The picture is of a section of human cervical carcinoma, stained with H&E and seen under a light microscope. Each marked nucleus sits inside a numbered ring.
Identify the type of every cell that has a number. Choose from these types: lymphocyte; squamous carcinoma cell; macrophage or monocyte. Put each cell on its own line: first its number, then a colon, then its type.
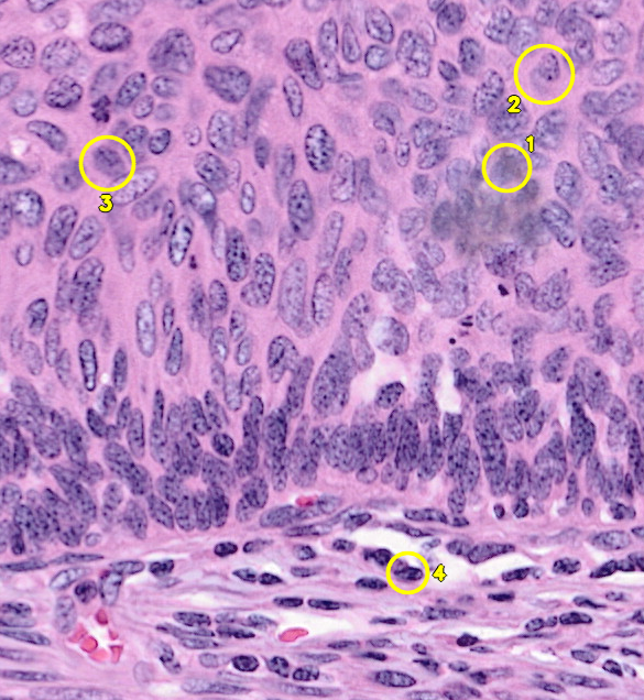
1: squamous carcinoma cell
2: squamous carcinoma cell
3: squamous carcinoma cell
4: lymphocyte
